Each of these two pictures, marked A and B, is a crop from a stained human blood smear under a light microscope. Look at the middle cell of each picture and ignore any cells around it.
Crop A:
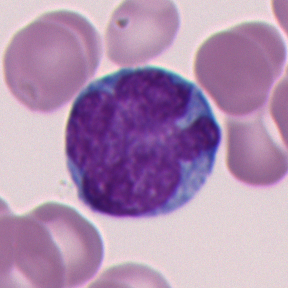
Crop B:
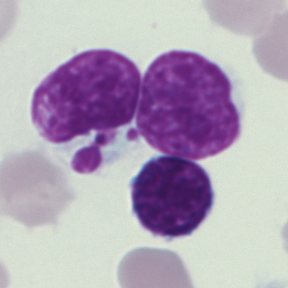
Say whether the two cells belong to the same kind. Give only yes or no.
yes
